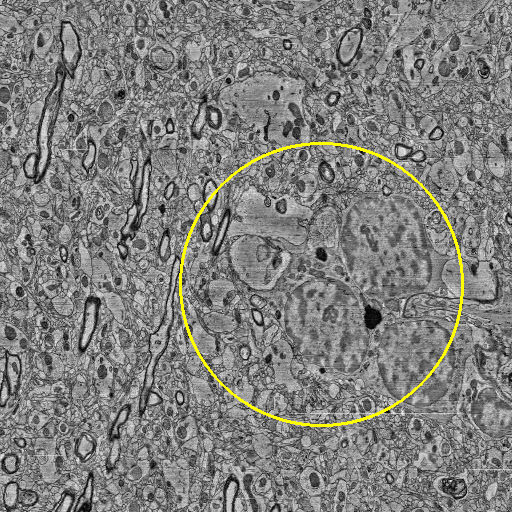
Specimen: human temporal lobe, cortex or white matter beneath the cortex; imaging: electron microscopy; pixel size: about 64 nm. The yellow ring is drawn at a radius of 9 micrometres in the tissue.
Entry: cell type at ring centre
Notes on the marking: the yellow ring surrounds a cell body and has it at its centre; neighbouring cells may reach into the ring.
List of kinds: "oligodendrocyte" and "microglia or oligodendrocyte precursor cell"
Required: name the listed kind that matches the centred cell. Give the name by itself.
oligodendrocyte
